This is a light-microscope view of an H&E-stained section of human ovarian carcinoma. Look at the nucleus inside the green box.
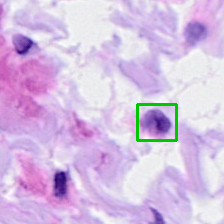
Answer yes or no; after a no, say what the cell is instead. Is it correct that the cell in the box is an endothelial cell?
No, it is a fibroblast.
